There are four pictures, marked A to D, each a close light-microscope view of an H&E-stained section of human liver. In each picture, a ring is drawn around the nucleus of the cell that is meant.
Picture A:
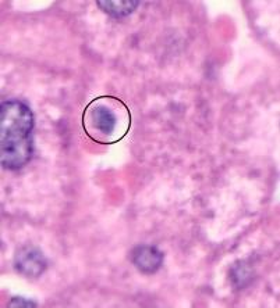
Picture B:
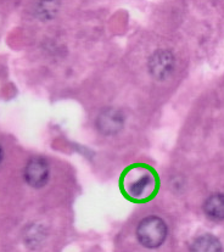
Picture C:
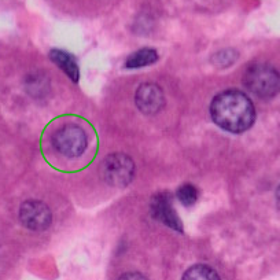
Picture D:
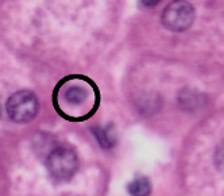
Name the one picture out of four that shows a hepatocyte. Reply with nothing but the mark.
C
